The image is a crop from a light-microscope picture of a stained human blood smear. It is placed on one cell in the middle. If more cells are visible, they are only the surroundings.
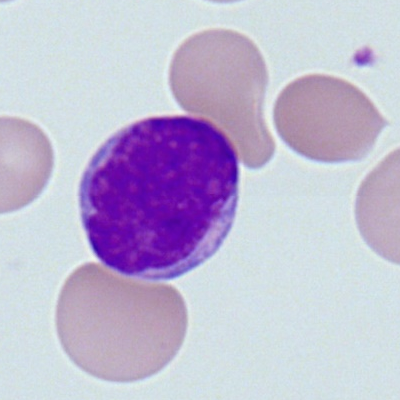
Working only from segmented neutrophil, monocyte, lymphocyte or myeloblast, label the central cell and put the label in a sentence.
The identification for the central cell is a myeloblast.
